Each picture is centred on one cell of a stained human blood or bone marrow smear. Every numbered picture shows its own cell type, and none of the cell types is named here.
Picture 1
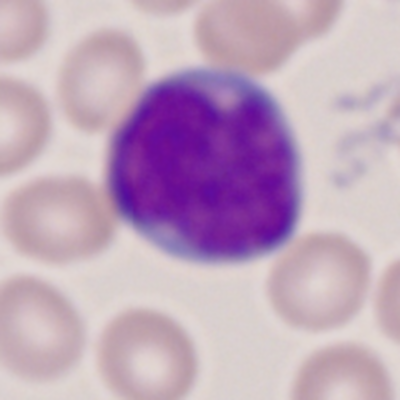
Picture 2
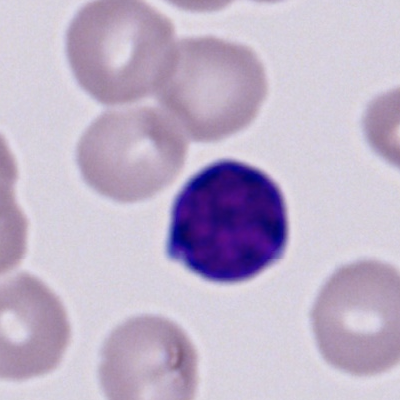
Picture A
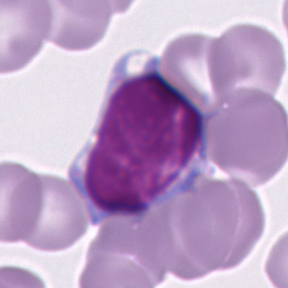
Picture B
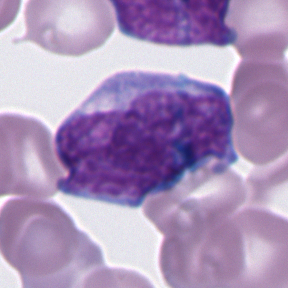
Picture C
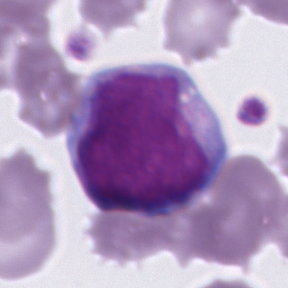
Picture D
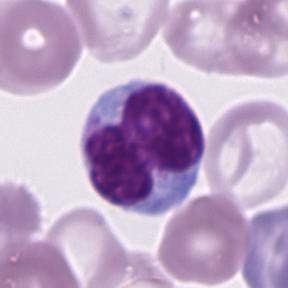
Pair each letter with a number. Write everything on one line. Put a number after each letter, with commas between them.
A 2, B 1, C 1, D 2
